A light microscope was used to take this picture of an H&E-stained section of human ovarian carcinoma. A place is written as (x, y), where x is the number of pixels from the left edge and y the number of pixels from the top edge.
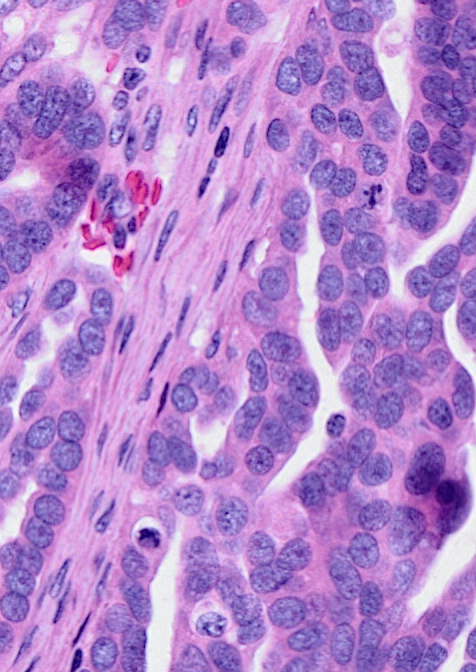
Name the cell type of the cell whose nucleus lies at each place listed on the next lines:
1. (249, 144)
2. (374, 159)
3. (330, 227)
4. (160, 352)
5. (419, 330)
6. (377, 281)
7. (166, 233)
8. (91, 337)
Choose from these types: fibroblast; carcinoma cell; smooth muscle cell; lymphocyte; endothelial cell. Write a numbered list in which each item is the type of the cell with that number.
1. fibroblast
2. carcinoma cell
3. carcinoma cell
4. fibroblast
5. carcinoma cell
6. carcinoma cell
7. fibroblast
8. carcinoma cell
